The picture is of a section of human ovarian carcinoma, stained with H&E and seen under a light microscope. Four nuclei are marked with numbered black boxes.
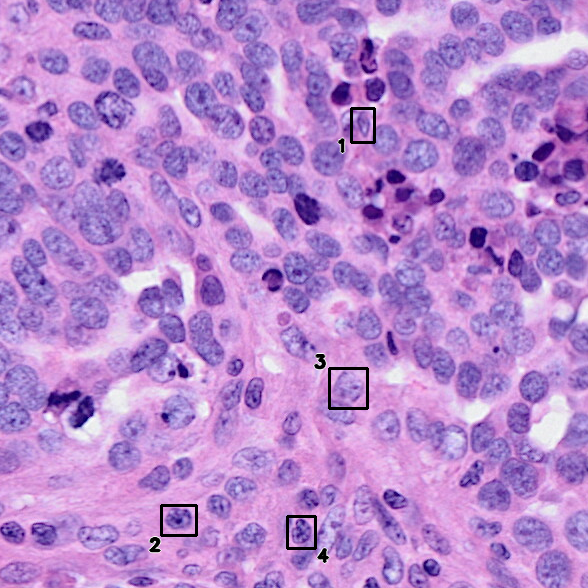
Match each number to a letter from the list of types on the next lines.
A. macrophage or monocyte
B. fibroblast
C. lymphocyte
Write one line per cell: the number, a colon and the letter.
1: A
2: C
3: B
4: C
